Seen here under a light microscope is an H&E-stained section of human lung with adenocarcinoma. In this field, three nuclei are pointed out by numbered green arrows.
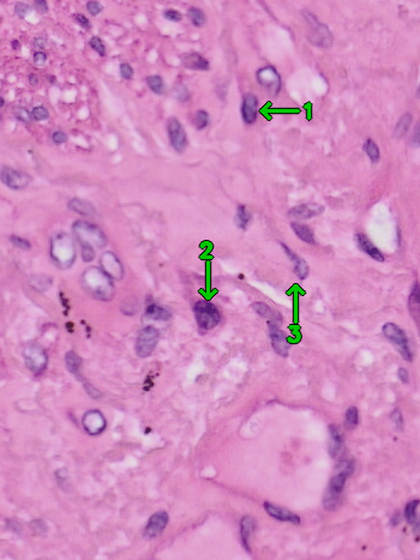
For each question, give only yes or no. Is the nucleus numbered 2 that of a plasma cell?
yes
